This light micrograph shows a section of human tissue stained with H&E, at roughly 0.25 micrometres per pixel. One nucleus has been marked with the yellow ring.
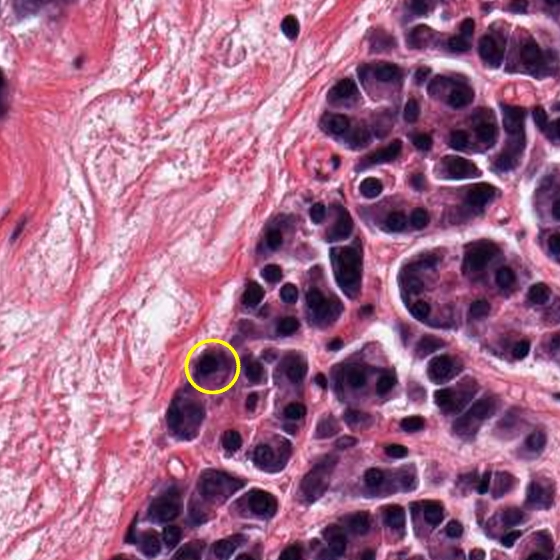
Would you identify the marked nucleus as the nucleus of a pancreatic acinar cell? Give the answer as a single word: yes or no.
yes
